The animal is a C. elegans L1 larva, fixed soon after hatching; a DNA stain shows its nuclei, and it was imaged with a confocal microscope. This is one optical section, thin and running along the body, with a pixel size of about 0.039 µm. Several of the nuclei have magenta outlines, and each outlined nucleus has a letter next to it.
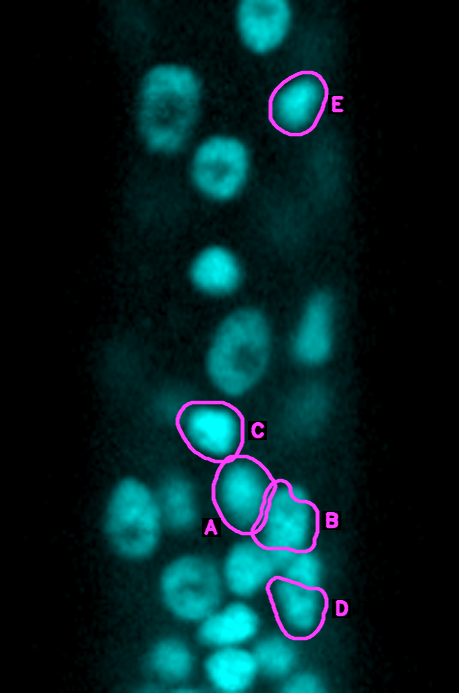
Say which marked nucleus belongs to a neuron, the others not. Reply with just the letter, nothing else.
A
